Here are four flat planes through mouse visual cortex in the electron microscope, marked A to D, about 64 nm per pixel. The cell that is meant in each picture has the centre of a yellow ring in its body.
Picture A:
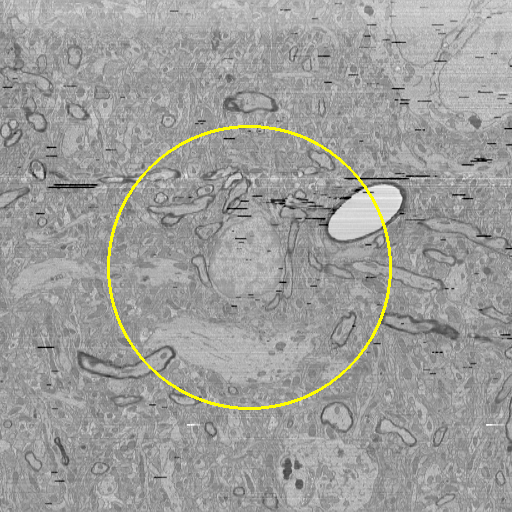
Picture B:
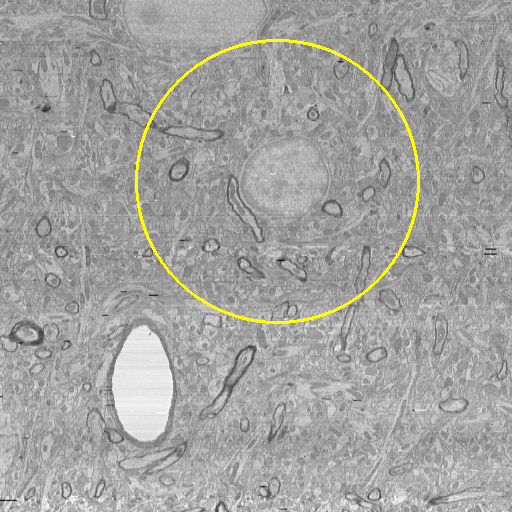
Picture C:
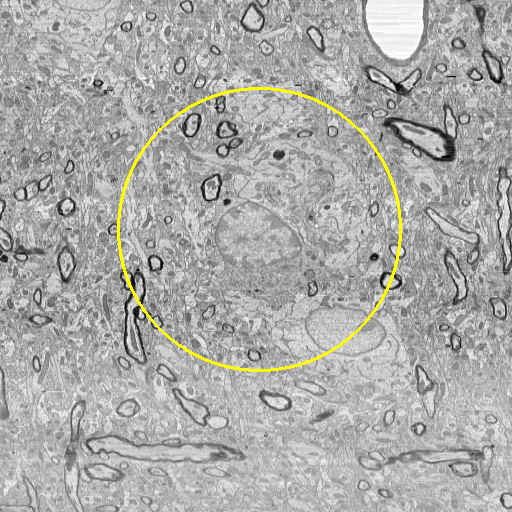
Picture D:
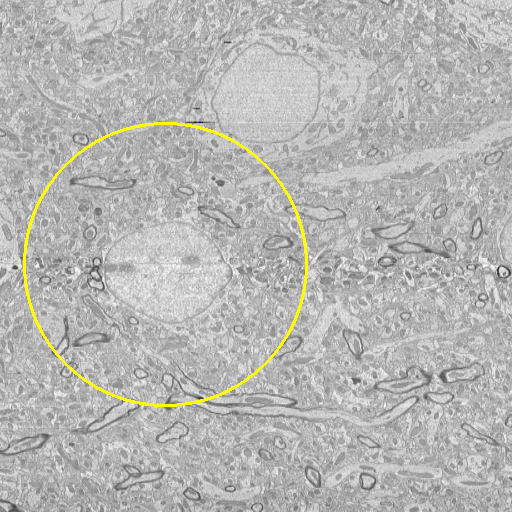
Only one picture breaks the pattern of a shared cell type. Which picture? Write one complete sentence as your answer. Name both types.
Unlike the rest, which show oligodendrocytes, picture D shows an astrocyte.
